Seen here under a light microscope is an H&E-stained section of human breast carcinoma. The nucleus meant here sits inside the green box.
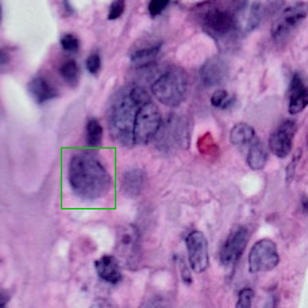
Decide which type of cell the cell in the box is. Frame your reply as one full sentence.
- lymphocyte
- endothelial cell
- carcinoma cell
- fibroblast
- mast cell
The cell type of the cell in the box is that of a carcinoma cell.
